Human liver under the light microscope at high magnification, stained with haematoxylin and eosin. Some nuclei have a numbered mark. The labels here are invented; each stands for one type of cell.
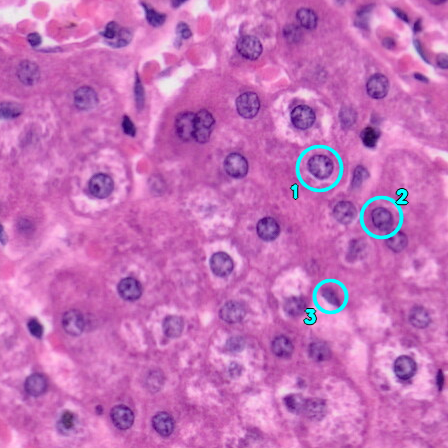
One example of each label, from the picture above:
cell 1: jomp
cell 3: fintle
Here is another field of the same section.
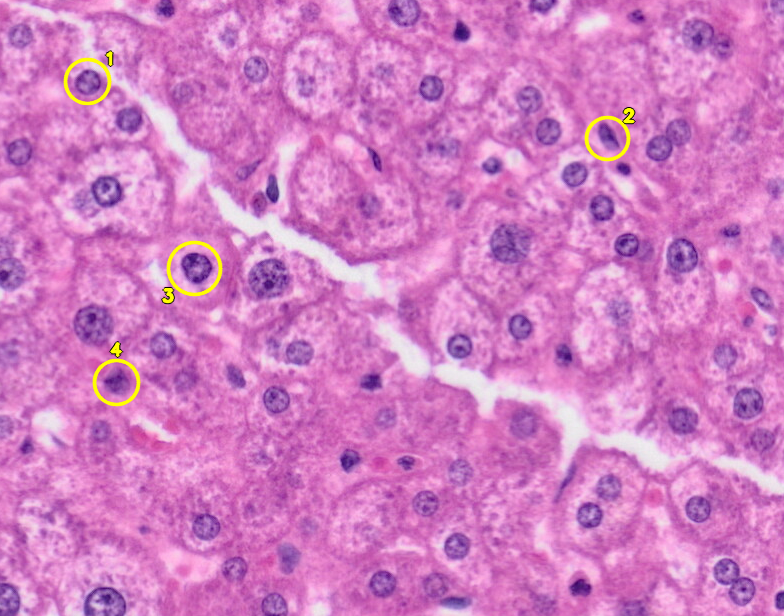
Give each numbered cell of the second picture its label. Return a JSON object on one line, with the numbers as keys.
{"1": "jomp", "2": "fintle", "3": "jomp", "4": "fintle"}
